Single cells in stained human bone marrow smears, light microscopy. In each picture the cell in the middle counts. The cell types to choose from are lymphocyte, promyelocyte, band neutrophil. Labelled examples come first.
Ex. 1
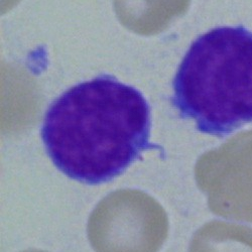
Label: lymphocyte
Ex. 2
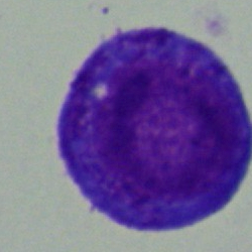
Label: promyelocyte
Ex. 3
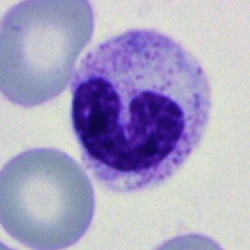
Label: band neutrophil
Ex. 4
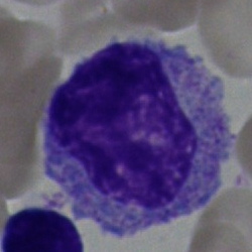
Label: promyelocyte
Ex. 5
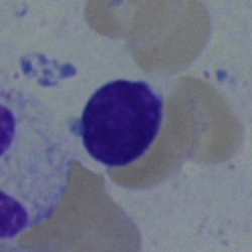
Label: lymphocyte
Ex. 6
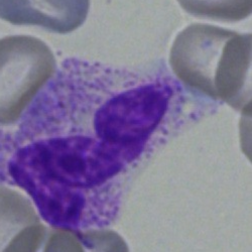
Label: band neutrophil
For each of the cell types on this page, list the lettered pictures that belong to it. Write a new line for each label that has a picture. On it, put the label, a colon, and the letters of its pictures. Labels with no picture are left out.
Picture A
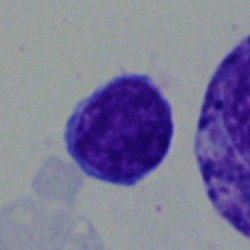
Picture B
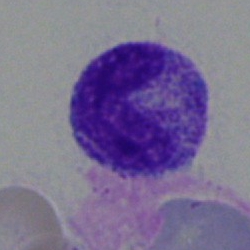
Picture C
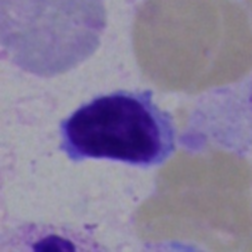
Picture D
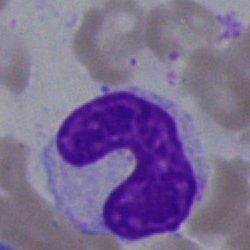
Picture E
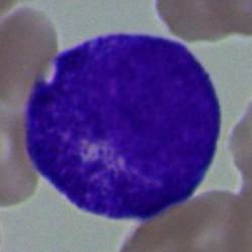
lymphocyte: A, C
promyelocyte: E
band neutrophil: B, D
